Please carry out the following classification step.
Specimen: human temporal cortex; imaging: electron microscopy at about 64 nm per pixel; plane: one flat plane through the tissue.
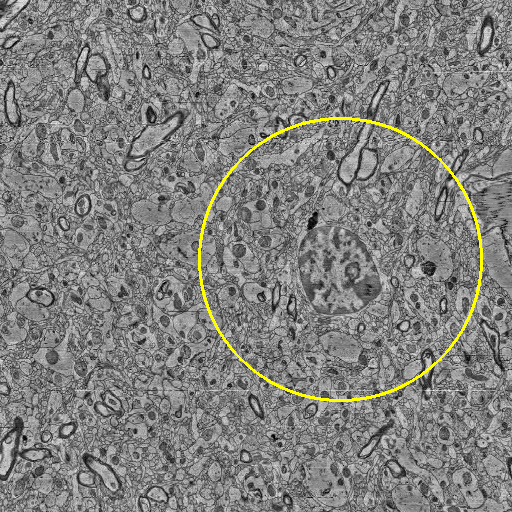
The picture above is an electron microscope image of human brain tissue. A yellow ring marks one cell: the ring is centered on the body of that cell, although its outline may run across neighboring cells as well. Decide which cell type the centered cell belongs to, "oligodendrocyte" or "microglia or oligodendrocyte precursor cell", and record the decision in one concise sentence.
The cell centered in the yellow ring is a microglial cell or oligodendrocyte precursor cell.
